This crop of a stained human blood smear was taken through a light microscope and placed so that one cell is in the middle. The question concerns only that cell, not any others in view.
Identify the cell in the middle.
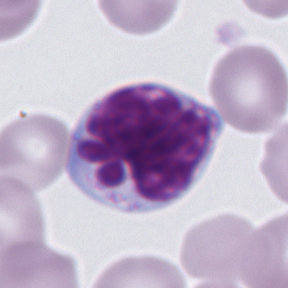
large granular lymphocyte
